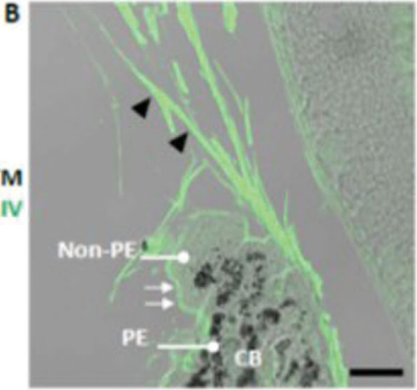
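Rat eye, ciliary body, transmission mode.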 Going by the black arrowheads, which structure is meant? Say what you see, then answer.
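Thin green strands run diagonally from the tissue edge into the clear space. So: zonular fibers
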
